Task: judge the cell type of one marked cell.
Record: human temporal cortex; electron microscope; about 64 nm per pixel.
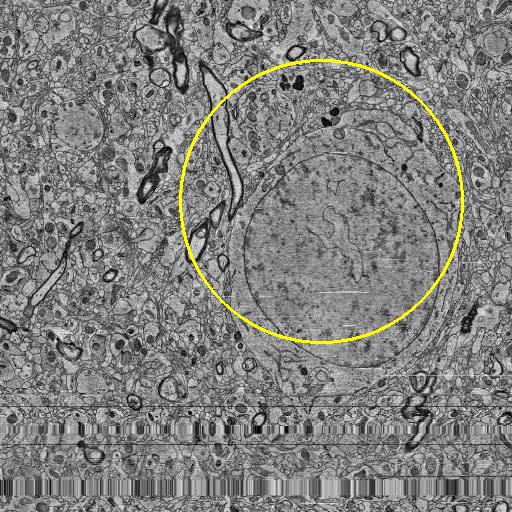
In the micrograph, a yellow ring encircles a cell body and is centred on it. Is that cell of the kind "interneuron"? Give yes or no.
no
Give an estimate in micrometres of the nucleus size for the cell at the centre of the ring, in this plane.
In this plane the nucleus is about 15 micrometres by 12.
